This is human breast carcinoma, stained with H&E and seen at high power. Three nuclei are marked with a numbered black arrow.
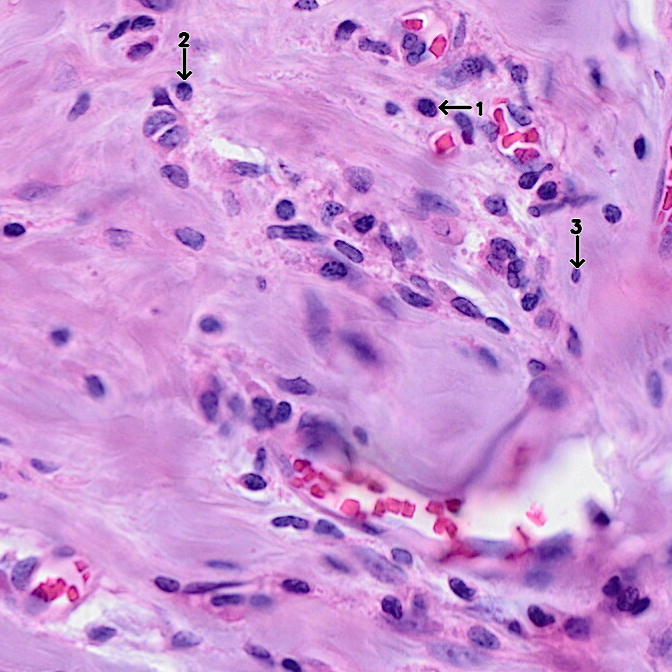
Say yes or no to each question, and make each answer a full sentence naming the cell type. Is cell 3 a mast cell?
No, instead of a mast cell, the cell with number 3 is a lymphocyte.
